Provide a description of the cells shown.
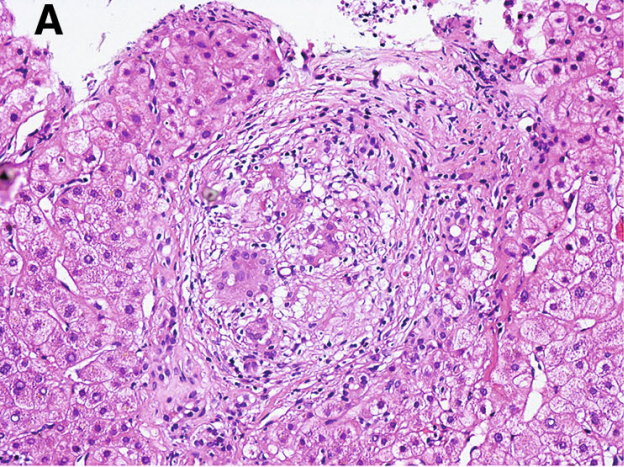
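This is liver in which a rounded granuloma sits among the hepatocytes. The surrounding hepatocytes are large polygonal cells with round central nuclei and pink, partly pale and vacuolated cytoplasm, arranged in plates. Around the nodule runs a rim of concentrically arranged spindle-shaped cells and fibrous tissue, and no necrosis is seen in the centre.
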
